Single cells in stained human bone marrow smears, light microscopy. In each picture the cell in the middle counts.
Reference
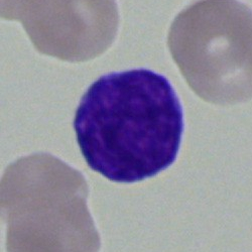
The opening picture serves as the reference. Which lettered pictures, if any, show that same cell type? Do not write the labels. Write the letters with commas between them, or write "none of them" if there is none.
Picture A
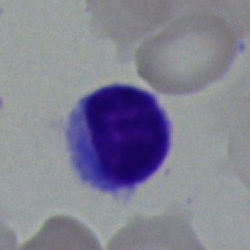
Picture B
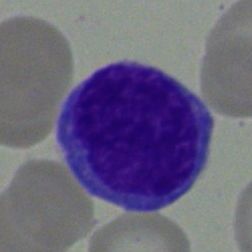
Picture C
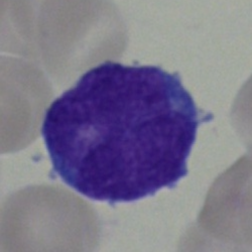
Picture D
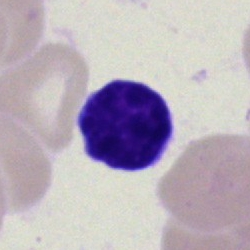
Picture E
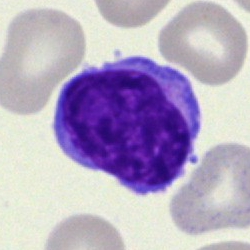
B, C, E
